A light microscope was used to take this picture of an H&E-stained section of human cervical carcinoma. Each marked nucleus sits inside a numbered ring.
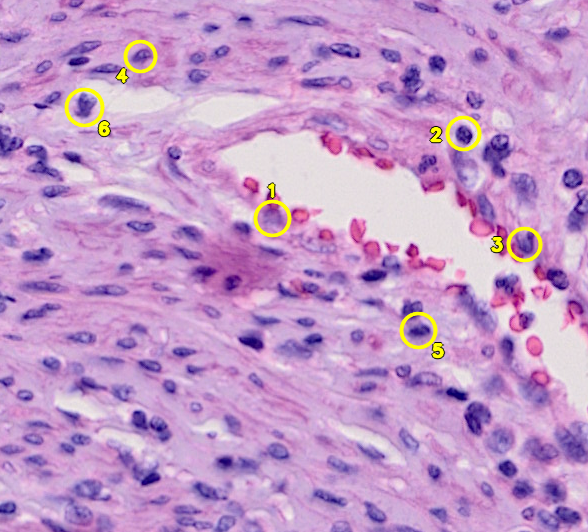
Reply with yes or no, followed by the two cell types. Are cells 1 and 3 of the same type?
Yes, the cells numbered 1 and 3 are both endothelial cells.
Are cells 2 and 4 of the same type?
No, sorry to say, cell 2 is a lymphocyte and cell 4 is a smooth muscle cell.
